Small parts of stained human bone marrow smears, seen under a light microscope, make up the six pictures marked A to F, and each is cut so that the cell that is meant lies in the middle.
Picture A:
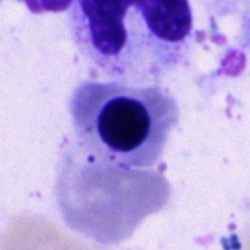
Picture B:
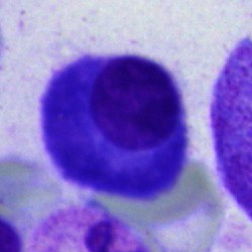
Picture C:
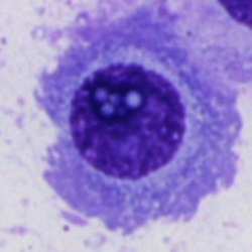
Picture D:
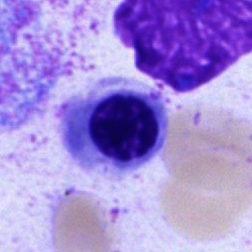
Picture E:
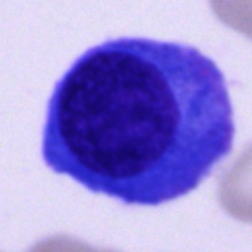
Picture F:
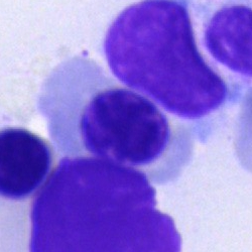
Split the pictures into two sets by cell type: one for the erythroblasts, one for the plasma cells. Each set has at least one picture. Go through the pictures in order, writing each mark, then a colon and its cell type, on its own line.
A: erythroblast
B: plasma cell
C: plasma cell
D: erythroblast
E: plasma cell
F: erythroblast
